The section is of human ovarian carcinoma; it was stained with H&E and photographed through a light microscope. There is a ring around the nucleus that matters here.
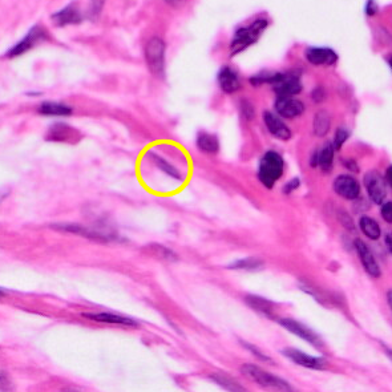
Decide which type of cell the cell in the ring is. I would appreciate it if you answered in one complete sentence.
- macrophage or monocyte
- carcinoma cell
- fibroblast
Assigned to a cell type, the cell in the ring is a fibroblast.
